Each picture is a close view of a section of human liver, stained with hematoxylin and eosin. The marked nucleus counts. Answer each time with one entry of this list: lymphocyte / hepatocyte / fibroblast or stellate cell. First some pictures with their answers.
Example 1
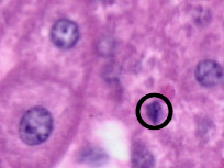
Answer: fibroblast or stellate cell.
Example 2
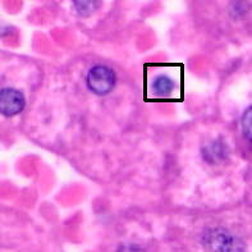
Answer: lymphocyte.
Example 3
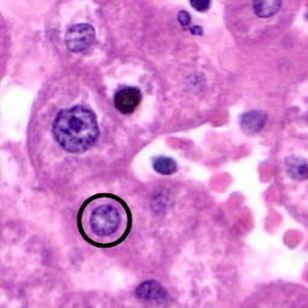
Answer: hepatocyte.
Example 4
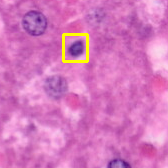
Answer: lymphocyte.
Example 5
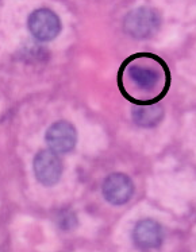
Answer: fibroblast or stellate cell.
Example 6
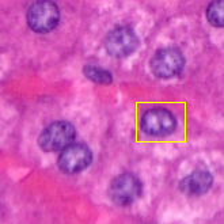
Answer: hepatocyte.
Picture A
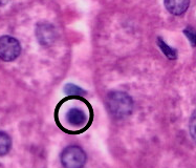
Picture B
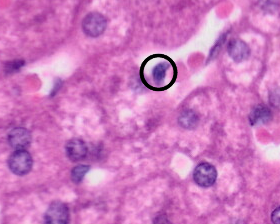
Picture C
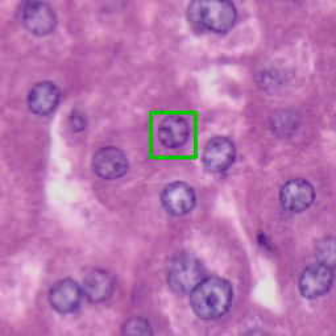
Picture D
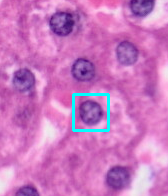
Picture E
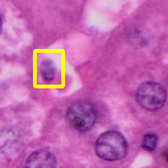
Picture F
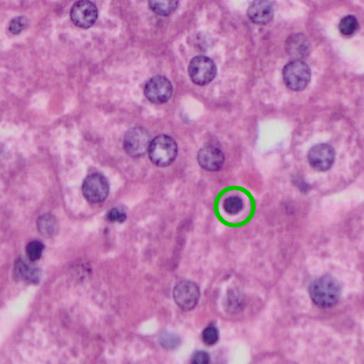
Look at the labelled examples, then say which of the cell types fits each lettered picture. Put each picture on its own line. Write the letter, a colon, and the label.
A: lymphocyte.
B: lymphocyte.
C: hepatocyte.
D: hepatocyte.
E: lymphocyte.
F: lymphocyte.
